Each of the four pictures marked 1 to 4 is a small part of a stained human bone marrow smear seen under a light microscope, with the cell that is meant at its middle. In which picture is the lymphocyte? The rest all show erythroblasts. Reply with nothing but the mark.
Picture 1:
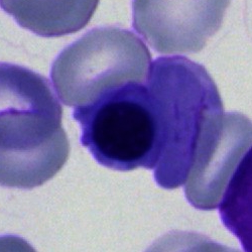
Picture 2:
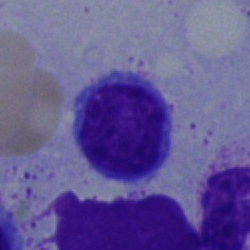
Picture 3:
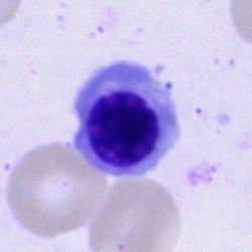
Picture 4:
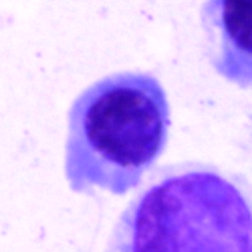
2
